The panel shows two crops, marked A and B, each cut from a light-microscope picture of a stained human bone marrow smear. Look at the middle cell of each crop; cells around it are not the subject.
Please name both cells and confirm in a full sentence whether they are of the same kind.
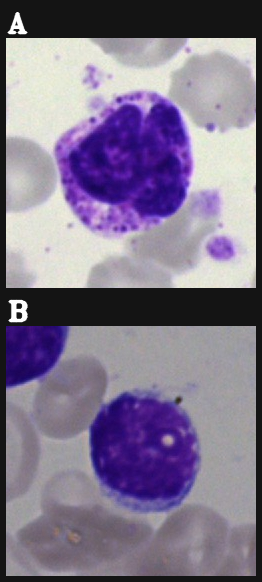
No, a basophil is shown in crop A and a lymphocyte in crop B.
